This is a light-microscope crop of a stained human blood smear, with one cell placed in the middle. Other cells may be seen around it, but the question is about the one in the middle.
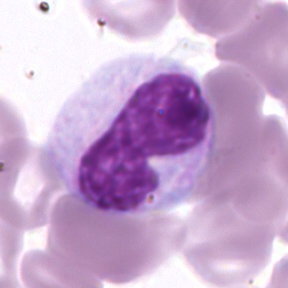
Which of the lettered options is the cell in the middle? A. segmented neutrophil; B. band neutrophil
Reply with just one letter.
B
